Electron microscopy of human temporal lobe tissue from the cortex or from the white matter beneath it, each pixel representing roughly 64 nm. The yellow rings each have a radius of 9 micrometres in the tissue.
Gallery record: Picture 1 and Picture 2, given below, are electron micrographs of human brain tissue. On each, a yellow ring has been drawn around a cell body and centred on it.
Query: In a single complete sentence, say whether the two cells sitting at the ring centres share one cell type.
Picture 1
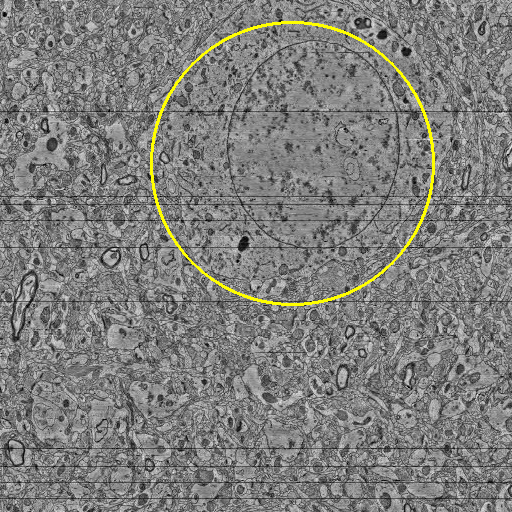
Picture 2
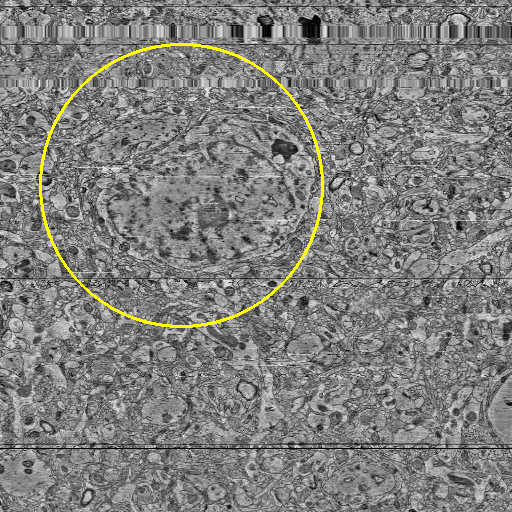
No, in the two pictures the cells at the rings' centres are of two separate types.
